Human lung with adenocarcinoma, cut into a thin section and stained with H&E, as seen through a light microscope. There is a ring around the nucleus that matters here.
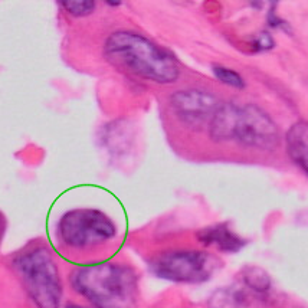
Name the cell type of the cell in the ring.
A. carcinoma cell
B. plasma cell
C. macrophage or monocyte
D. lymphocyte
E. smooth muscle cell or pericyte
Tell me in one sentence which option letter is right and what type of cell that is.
Since the cell in the ring is a carcinoma cell, the right option is A.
